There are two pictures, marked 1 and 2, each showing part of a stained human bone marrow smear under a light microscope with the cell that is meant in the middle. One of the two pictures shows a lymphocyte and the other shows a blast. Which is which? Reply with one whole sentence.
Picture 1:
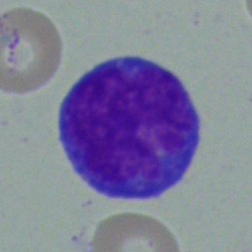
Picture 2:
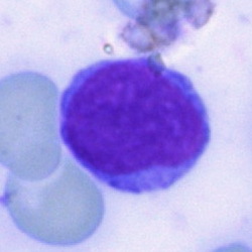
Picture 1 is of a blast, and picture 2 is of a lymphocyte.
